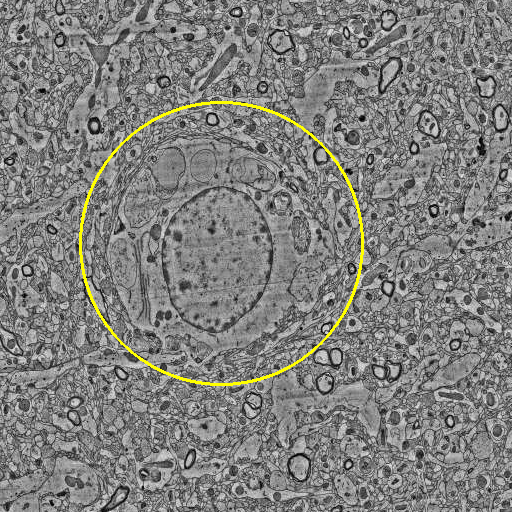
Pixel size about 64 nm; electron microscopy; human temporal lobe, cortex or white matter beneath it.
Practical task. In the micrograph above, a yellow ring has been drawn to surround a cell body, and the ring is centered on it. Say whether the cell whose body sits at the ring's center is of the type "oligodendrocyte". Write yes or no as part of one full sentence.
No, the cell at the center of the ring above is of another type.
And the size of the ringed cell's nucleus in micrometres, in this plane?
The nucleus comes to roughly 9 by 7 micrometres in this plane.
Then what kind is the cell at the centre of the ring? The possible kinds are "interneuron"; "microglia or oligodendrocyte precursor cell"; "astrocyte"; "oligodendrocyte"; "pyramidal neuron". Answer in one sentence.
The cell in the ring is an astrocyte instead.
